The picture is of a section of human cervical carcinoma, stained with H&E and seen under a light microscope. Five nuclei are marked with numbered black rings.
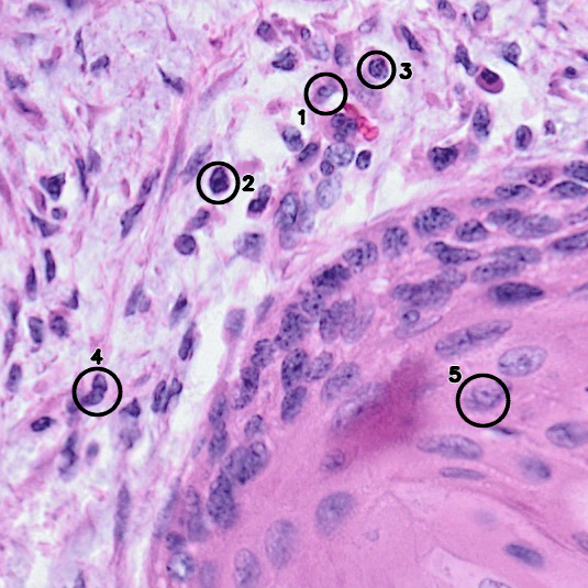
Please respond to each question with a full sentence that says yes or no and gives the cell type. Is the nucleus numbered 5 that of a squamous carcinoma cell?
Yes, a squamous carcinoma cell is what the cell numbered 5 is.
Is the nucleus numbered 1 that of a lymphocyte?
No, the cell at number 1 is an endothelial cell instead of a lymphocyte.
